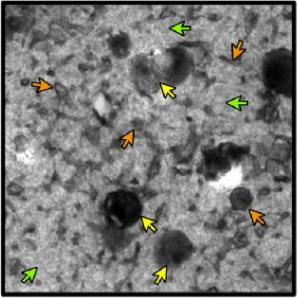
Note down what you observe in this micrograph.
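The cytoplasm of this dark cell is packed with a dense mesh of fine, branched filaments giving a grainy grey texture. Small membrane vesicles and very electron-dense round lysosome-like bodies are scattered through the mesh.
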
